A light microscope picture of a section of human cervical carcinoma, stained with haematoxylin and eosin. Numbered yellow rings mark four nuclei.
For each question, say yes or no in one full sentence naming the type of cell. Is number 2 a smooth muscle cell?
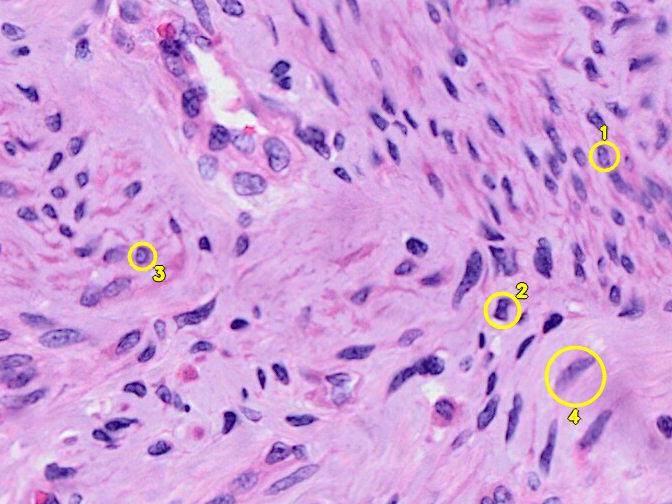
No, the cell marked 2 is a fibroblast rather than a smooth muscle cell.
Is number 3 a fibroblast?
No, the nucleus numbered 3 belongs to a smooth muscle cell, not a fibroblast.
